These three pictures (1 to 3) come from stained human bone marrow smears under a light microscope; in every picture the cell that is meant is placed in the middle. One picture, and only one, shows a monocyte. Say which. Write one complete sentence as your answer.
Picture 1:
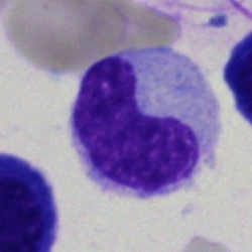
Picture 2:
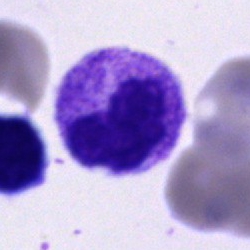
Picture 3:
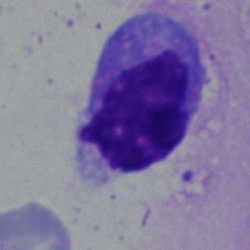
It is picture 3 that shows the monocyte.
